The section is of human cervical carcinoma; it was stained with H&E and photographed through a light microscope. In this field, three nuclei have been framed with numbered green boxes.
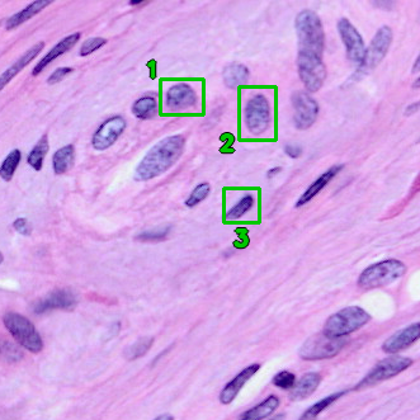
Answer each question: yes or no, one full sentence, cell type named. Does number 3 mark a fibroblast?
Yes, the cell tagged with the number 3 is a fibroblast.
